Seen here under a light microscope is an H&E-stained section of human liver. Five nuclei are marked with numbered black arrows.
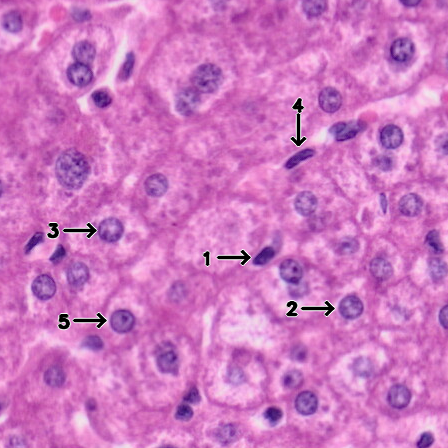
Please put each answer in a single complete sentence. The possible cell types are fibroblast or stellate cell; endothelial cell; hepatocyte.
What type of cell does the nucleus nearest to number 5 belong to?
The nucleus nearest to number 5 is that of an endothelial cell.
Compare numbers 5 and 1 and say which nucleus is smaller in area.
Nucleus 1 is the smaller one; nucleus 5 covers about 1.5 times its area.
